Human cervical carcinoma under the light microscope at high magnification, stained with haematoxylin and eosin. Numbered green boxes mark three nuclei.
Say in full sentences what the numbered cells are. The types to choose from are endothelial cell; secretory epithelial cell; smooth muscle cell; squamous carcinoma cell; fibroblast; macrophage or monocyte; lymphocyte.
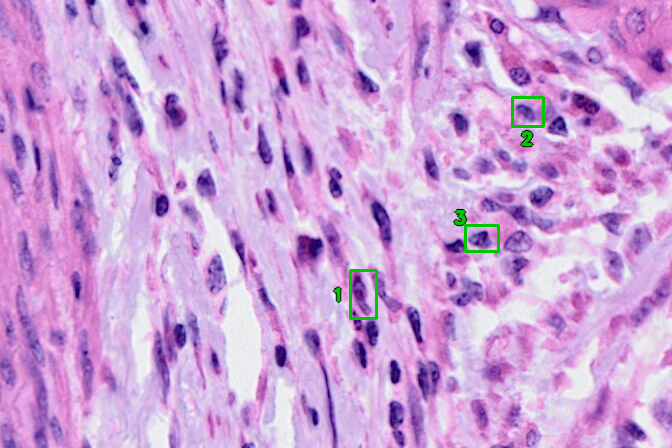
Cell 1 is a macrophage or monocyte, cell 2 is a lymphocyte and cell 3 is a lymphocyte.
